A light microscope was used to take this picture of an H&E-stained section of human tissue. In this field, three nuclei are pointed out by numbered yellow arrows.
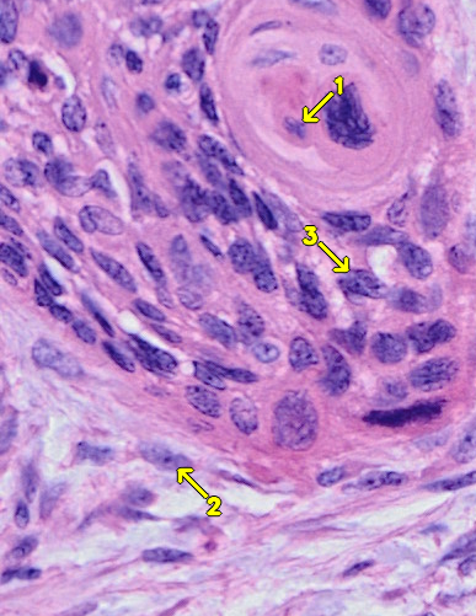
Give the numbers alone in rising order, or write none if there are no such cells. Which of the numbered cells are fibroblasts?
2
